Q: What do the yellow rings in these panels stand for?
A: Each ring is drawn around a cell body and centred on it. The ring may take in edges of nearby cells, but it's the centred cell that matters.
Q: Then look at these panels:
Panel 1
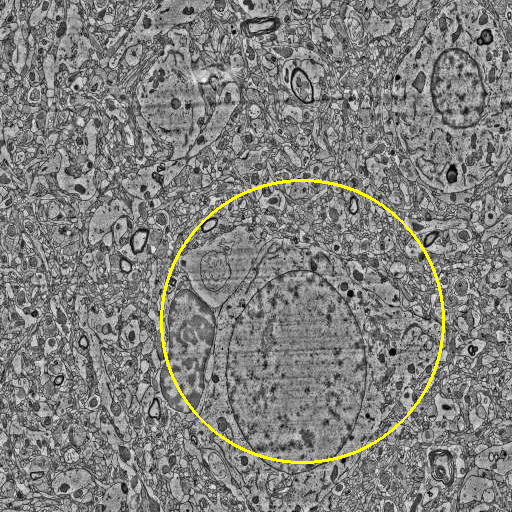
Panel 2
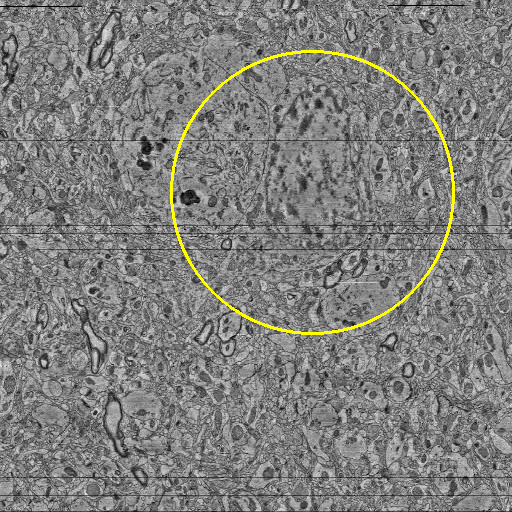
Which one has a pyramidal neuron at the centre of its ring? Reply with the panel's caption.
Panel 1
